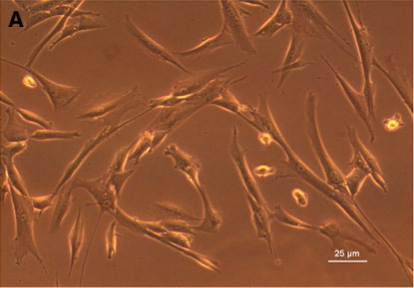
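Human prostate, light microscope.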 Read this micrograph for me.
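Most are elongated and spindle-shaped or stellate, with long tapering processes extending from the cell body. A few cells are rounded and bright, standing off the dish surface.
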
